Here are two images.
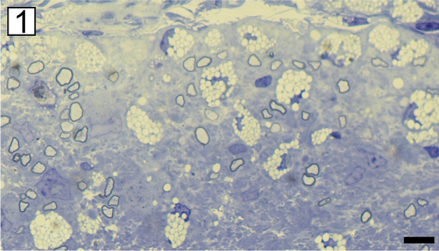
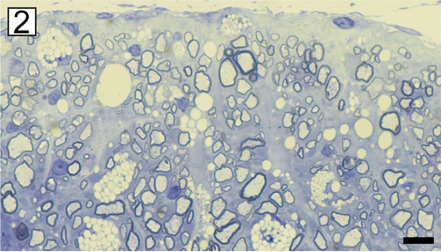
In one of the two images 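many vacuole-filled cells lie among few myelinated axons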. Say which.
the first image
